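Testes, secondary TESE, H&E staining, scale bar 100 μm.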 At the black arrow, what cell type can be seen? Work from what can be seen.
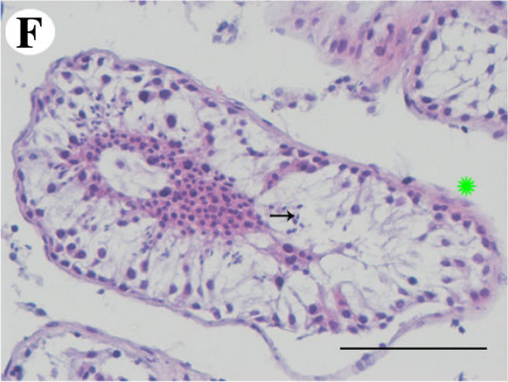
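Mature sperm. The arrow points at small dark cells in the centre of the tubule.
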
